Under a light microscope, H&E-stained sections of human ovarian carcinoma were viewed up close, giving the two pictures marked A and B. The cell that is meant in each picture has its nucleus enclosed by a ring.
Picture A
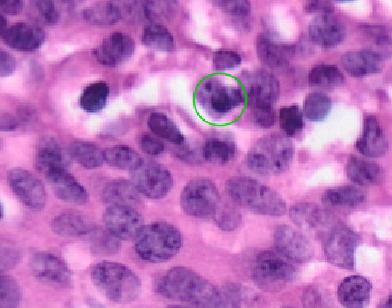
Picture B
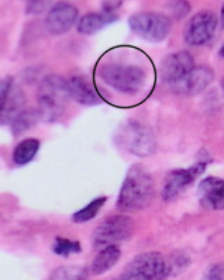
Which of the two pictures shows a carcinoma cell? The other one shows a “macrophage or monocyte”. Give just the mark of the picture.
B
